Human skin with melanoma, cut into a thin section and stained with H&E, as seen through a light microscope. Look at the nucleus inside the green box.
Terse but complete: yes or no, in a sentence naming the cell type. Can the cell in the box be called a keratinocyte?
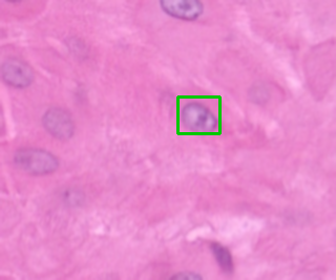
Yes, the cell in the box is a keratinocyte; nothing to add.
